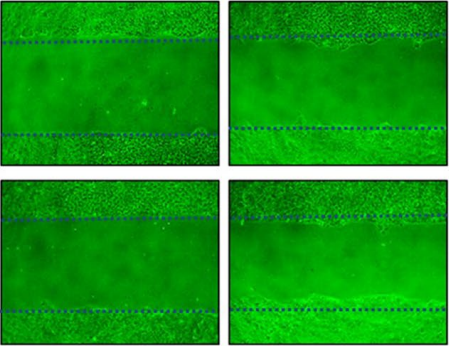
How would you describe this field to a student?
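A band of densely packed cells lies above and below a pair of blue dashed lines. The space between the lines is largely free of cells. Single cells are hard to make out at this magnification, and the cell sheet looks like a granular, mottled layer with a ragged edge facing the gap.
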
